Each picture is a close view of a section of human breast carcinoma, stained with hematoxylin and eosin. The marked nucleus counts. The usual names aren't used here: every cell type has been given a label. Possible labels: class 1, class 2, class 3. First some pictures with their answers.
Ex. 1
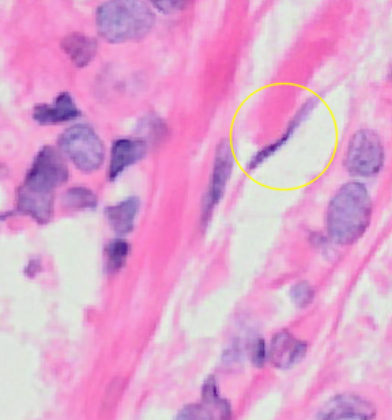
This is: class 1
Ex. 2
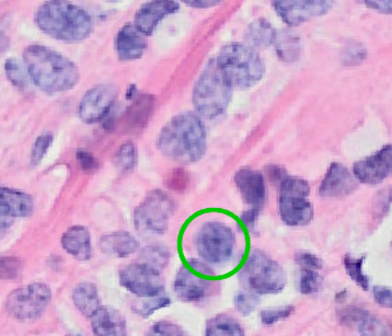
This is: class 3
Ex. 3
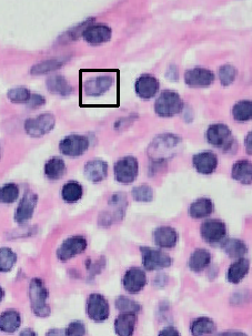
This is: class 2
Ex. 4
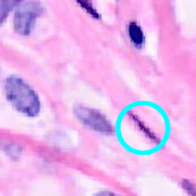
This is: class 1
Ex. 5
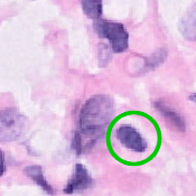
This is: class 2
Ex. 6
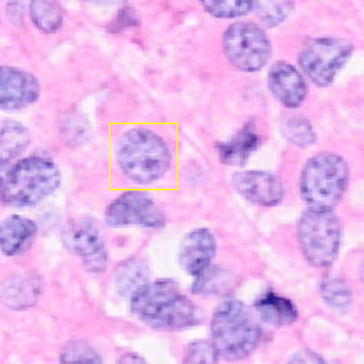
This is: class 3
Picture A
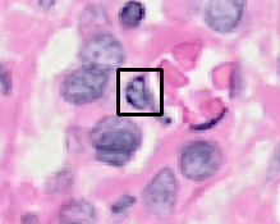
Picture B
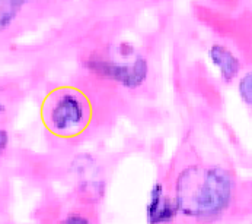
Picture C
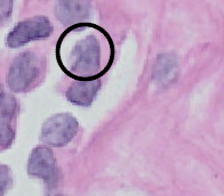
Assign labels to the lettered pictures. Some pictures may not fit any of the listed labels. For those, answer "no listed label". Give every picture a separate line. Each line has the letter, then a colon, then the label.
A: no listed label
B: no listed label
C: class 3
